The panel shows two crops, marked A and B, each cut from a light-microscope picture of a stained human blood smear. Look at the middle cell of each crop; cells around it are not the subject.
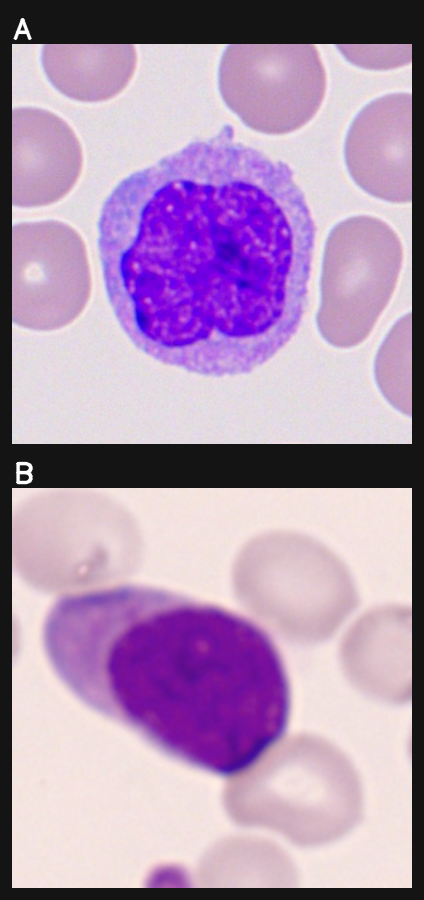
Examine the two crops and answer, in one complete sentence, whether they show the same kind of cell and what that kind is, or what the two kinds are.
No, crop A depicts a monocyte; crop B depicts a myeloblast.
